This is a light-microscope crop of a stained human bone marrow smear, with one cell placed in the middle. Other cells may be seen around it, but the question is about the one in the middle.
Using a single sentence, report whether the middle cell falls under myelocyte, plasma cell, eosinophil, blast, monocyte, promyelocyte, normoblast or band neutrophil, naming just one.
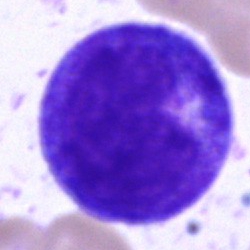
The cell shown in the center of this light-microscope crop is a promyelocyte.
